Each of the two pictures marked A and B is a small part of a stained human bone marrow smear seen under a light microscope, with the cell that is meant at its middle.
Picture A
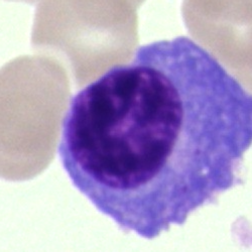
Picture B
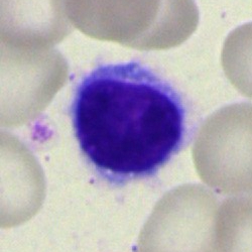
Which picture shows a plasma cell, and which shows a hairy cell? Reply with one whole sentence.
Picture A shows a plasma cell and picture B shows a hairy cell.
